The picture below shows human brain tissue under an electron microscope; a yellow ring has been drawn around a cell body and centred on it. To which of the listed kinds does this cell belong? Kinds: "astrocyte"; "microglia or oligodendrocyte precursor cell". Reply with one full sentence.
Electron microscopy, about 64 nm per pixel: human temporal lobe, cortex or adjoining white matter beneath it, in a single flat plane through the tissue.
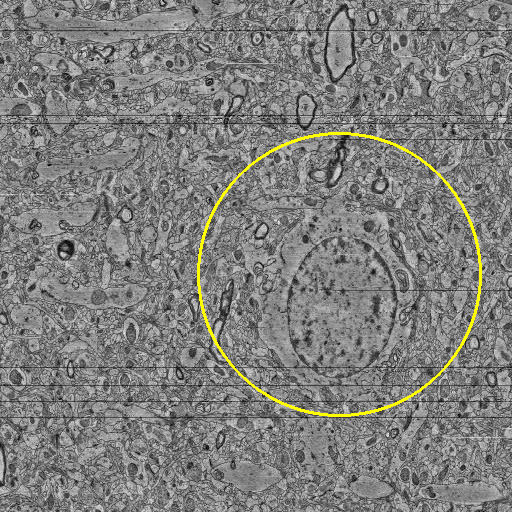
It is an astrocyte that the yellow ring in the picture is centred on.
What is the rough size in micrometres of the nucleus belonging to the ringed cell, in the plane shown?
The nucleus of the ringed cell is approximately 9 by 7 micrometres in this plane.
